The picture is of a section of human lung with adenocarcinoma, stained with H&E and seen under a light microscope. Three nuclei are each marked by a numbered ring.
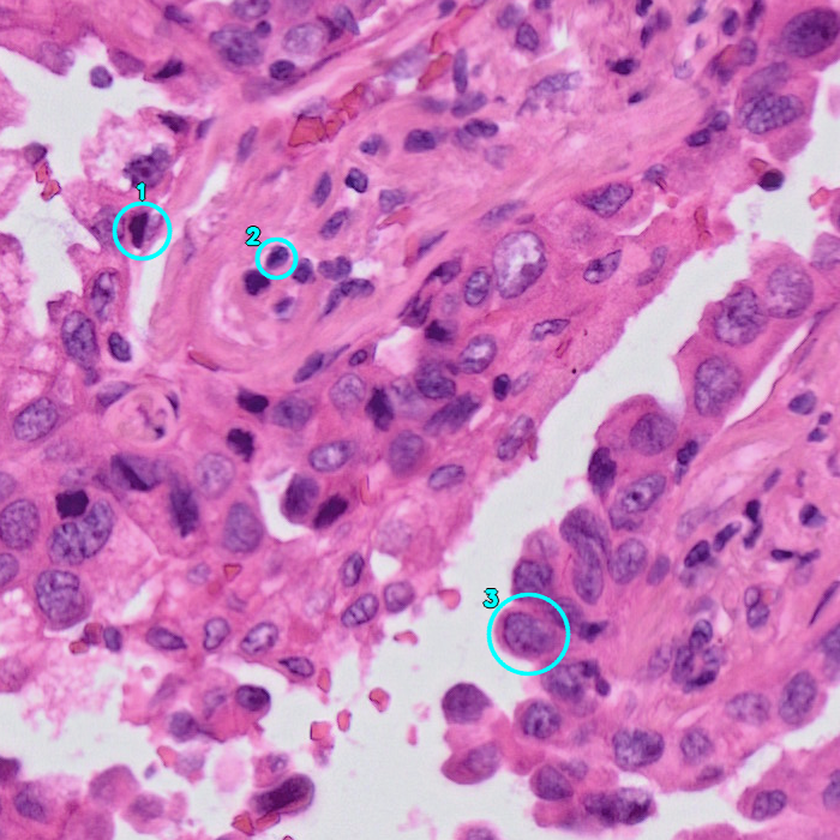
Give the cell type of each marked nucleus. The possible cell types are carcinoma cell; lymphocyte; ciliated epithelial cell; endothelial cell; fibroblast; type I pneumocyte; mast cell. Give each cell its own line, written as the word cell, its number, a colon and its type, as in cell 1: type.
cell 1: carcinoma cell
cell 2: lymphocyte
cell 3: carcinoma cell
